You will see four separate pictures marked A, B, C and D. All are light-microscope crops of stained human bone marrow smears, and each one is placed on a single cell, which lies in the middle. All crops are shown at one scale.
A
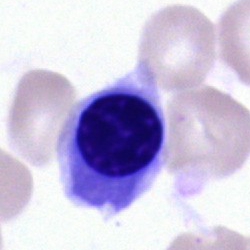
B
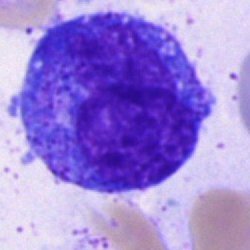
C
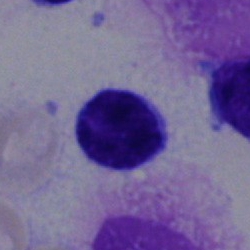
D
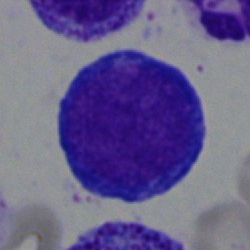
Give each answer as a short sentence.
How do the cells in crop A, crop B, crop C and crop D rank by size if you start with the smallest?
From the smallest up, the order is C, A, D, B.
